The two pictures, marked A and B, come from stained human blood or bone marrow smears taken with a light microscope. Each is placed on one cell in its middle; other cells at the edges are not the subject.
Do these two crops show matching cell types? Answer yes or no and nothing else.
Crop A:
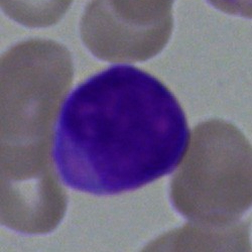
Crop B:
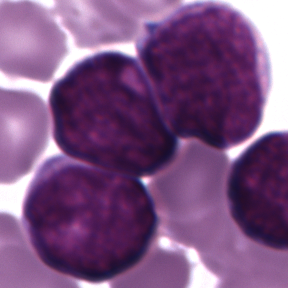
yes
